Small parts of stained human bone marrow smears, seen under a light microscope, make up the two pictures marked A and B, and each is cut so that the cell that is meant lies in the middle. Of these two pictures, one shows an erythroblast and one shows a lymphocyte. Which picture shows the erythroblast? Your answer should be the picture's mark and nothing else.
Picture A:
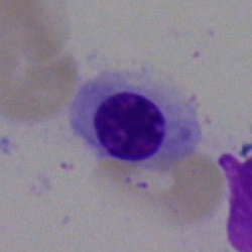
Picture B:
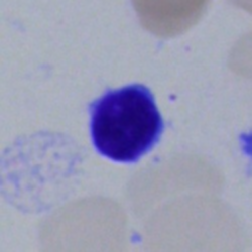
A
